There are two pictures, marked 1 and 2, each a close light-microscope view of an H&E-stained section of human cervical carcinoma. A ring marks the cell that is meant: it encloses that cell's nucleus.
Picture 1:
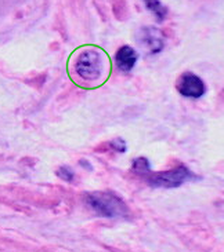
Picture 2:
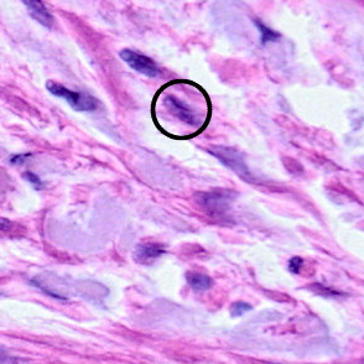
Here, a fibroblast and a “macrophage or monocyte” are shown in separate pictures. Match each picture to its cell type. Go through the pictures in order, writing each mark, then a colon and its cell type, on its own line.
1: macrophage or monocyte
2: fibroblast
